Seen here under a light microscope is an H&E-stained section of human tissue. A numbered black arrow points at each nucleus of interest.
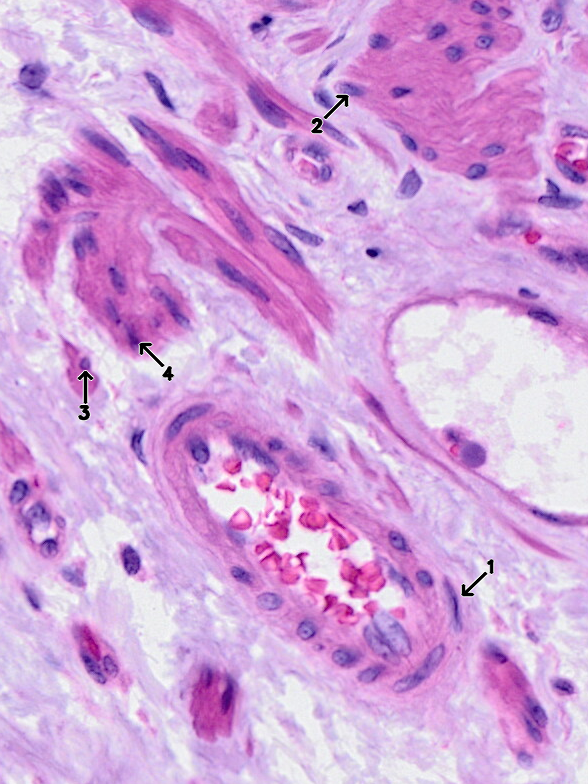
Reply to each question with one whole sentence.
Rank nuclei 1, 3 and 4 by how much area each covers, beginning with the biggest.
Largest first, the order by area is 1, 4, 3.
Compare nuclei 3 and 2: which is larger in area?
The larger nucleus is 2, at roughly 2 times the area of 3.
